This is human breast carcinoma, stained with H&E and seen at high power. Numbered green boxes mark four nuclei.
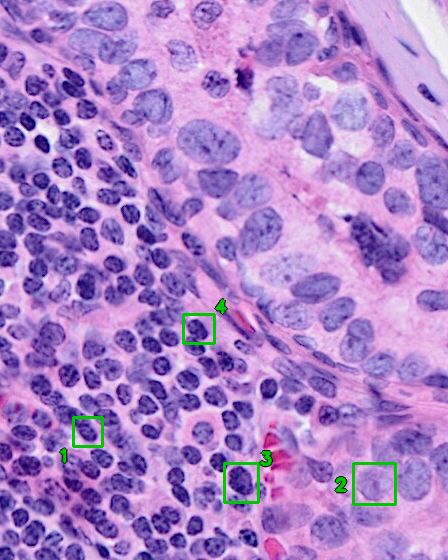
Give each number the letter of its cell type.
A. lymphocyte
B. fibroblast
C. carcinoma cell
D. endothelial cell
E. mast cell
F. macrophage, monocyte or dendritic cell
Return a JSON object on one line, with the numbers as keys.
{"1": "A", "2": "C", "3": "A", "4": "A"}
